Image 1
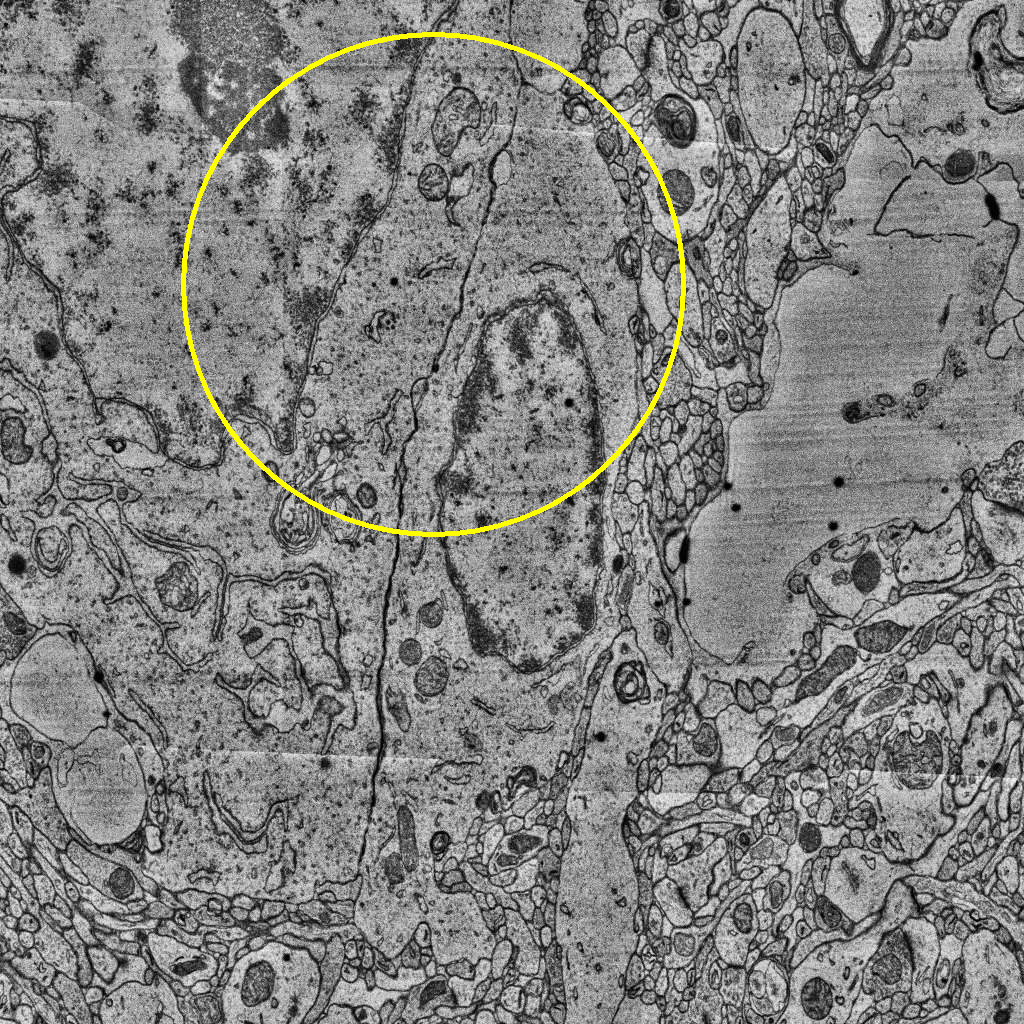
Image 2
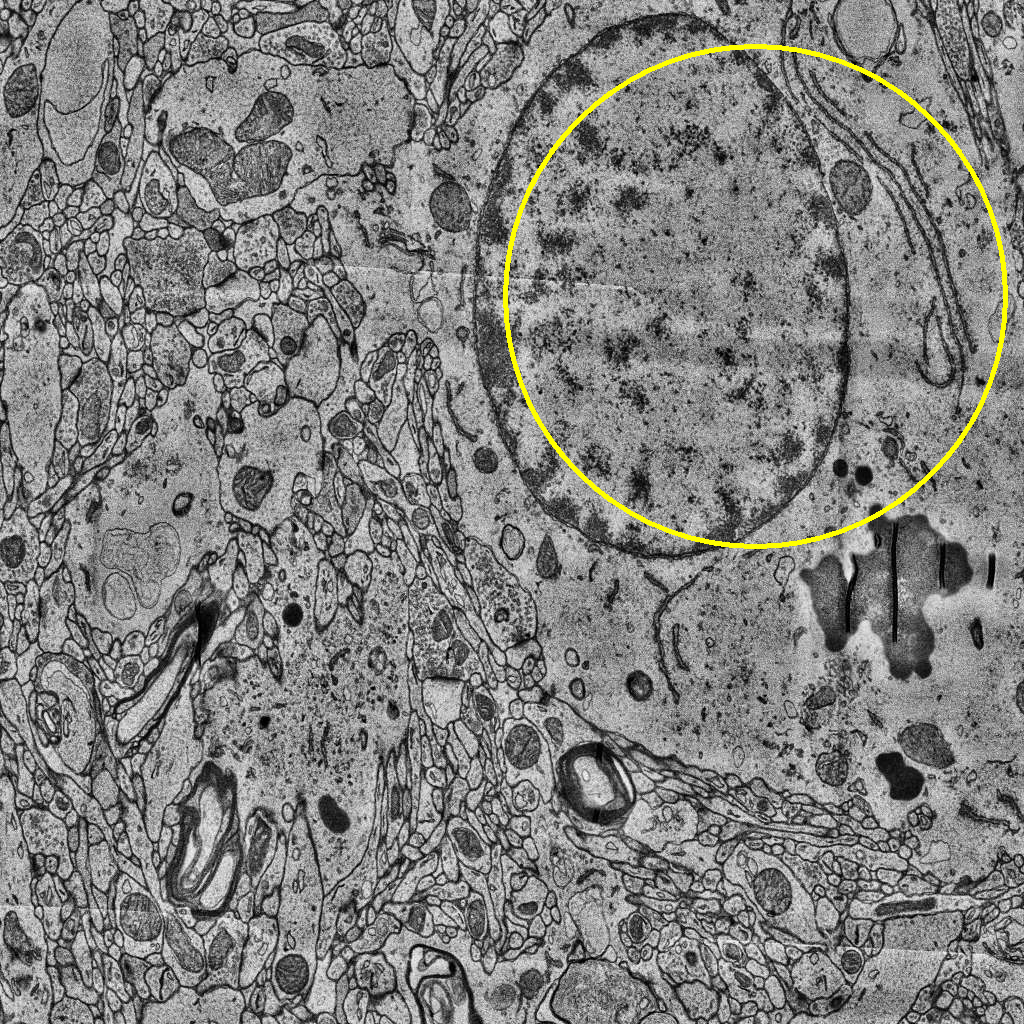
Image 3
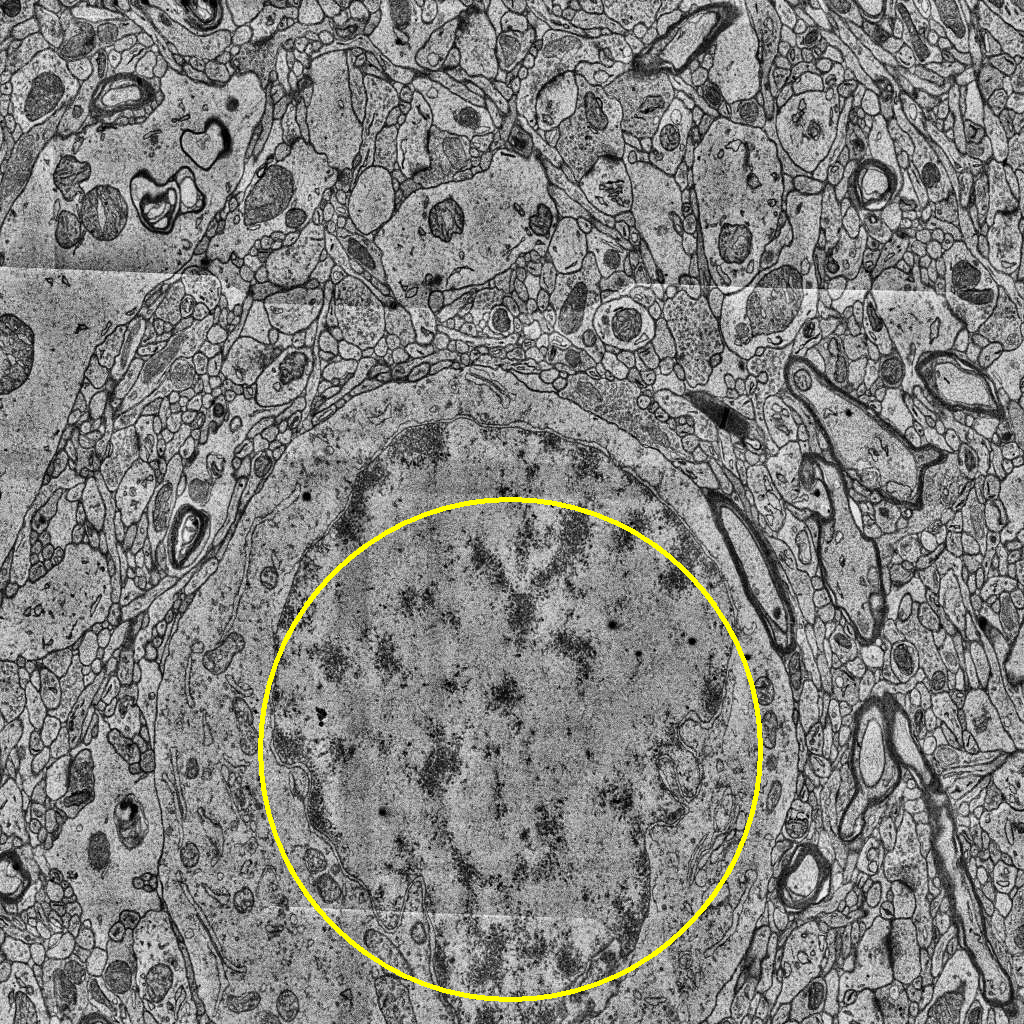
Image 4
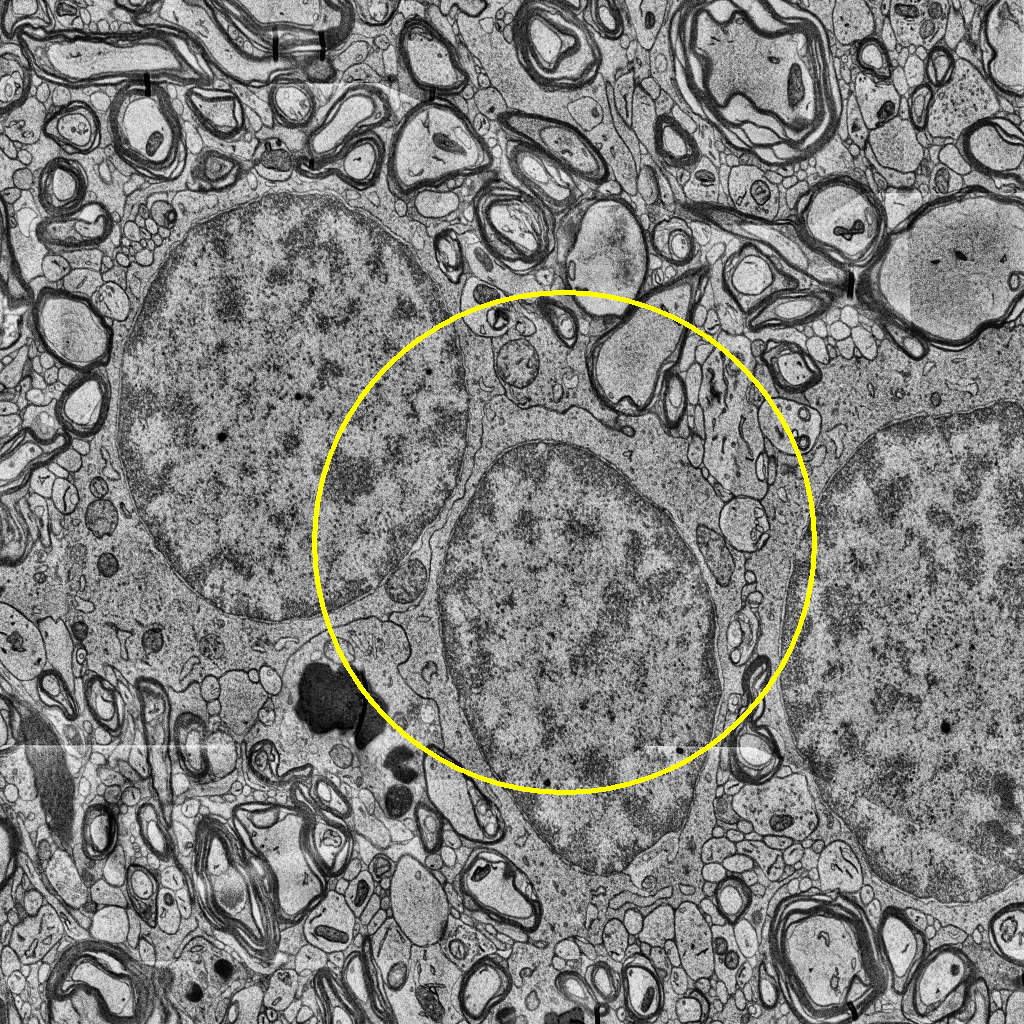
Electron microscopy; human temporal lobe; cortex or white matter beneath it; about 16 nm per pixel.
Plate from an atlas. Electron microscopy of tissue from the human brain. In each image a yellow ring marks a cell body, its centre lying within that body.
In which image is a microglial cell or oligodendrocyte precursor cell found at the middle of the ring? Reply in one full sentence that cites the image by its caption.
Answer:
The requested cell is the one at the ring's centre in Image 1.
